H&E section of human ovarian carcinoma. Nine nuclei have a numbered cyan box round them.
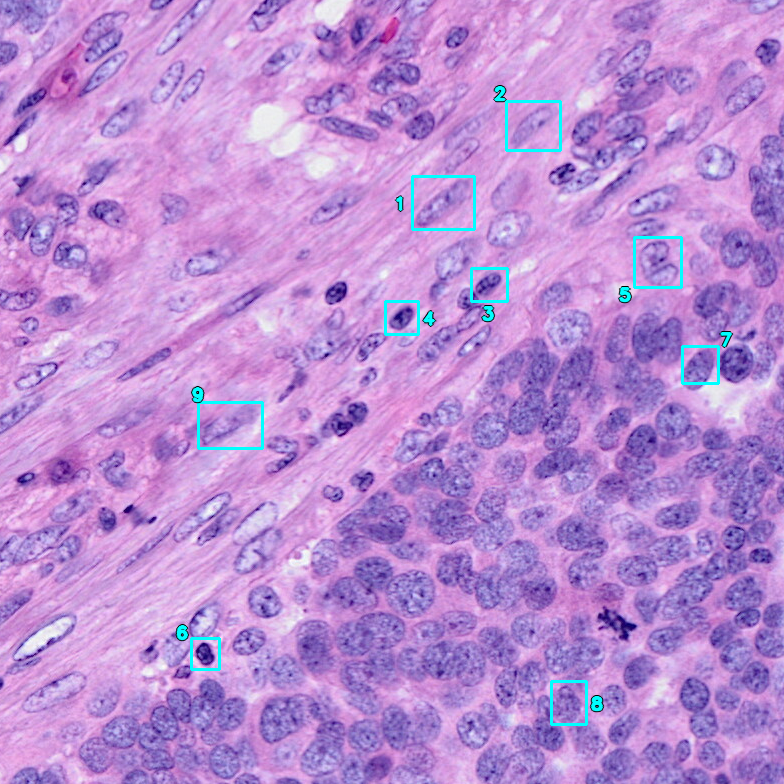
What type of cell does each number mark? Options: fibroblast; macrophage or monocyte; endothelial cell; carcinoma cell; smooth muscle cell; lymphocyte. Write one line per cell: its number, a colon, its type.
1: fibroblast
2: fibroblast
3: lymphocyte
4: lymphocyte
5: fibroblast
6: lymphocyte
7: carcinoma cell
8: carcinoma cell
9: fibroblast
